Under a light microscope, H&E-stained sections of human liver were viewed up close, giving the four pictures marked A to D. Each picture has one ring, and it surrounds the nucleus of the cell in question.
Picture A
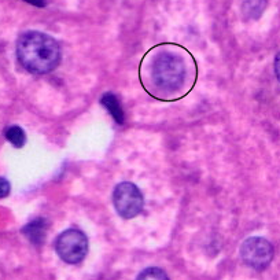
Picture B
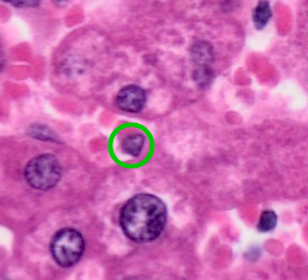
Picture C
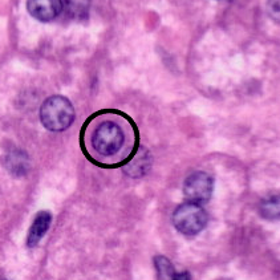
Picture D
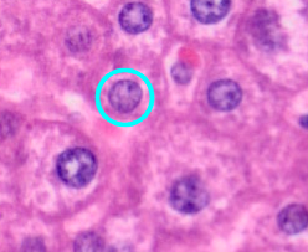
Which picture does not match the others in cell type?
B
